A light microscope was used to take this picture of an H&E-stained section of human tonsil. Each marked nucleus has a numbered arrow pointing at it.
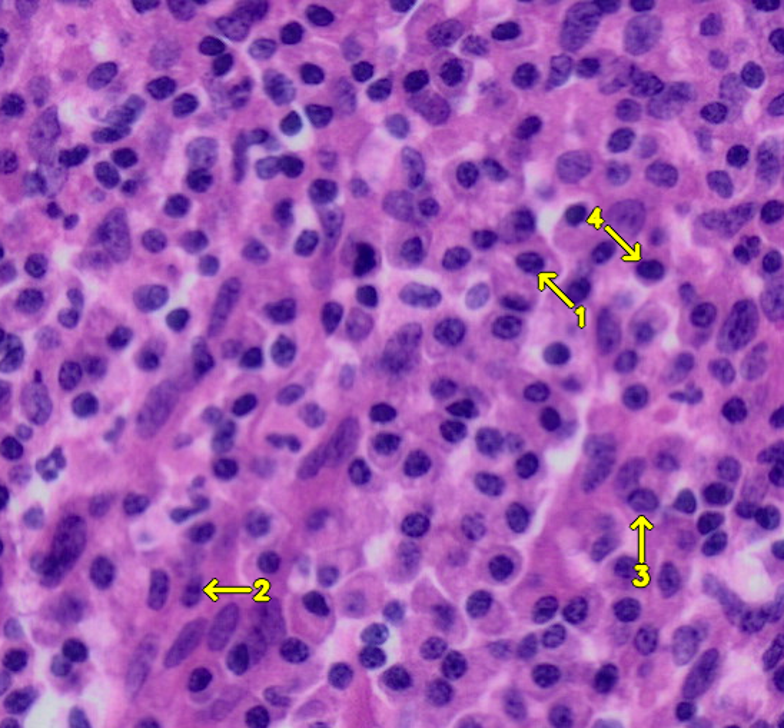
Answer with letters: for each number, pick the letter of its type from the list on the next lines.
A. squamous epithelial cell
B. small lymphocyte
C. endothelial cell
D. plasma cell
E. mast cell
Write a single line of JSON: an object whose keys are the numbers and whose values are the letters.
{"1": "D", "2": "A", "3": "D", "4": "D"}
